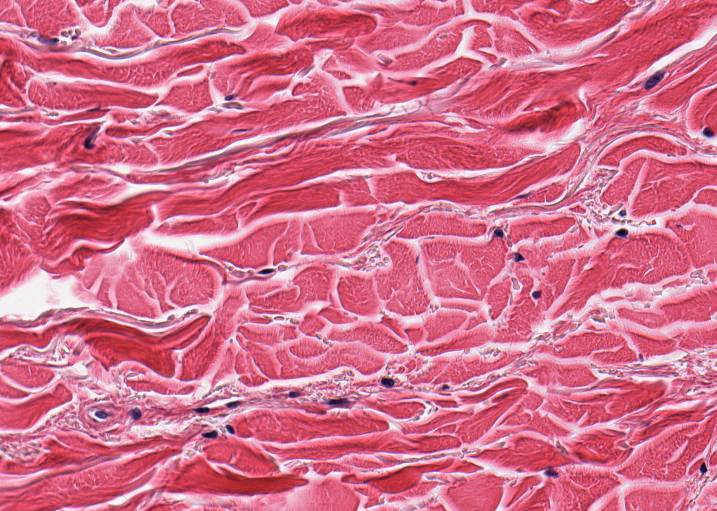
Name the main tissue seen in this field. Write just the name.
dermis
